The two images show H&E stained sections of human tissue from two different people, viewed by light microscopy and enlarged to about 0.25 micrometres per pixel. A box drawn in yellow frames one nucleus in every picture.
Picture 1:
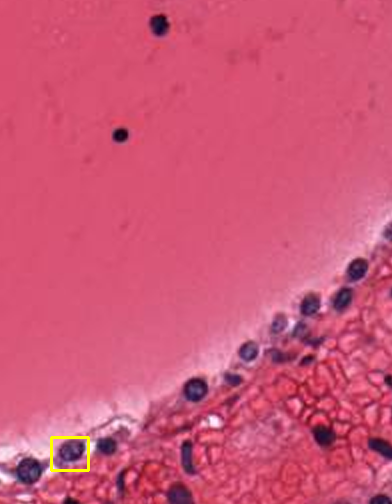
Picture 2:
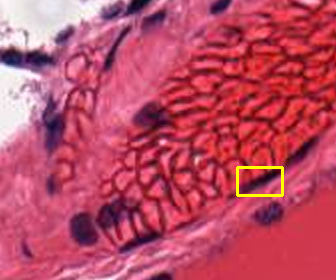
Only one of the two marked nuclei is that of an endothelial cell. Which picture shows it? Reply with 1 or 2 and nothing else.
2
